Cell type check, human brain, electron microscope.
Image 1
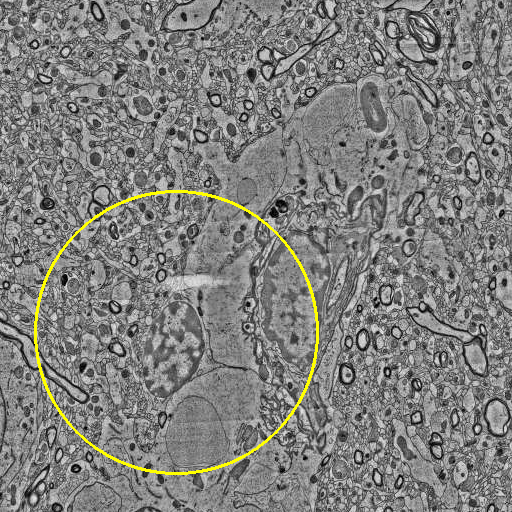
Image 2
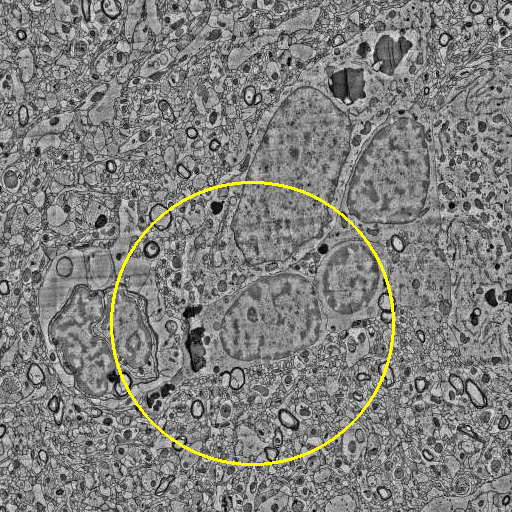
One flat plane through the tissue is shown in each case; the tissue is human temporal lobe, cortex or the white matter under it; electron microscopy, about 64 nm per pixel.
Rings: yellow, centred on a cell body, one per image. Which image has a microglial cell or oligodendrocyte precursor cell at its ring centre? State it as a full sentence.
The ring in Image 1 is centred on it.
